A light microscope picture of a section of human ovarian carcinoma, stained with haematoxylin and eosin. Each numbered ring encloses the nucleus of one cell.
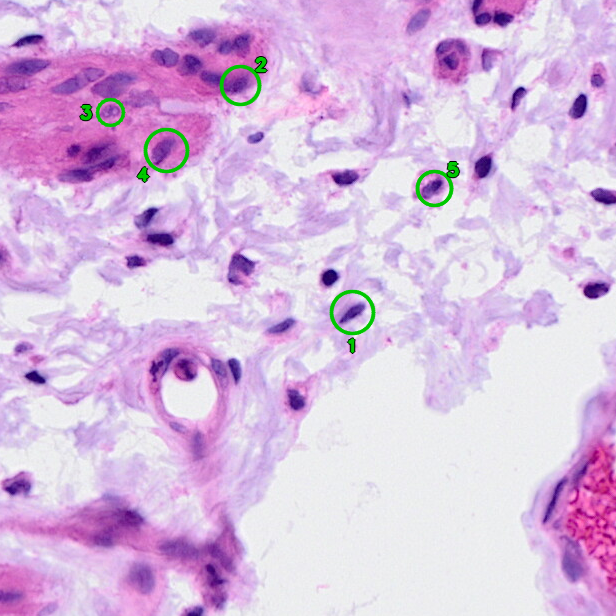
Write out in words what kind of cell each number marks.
Cell 1 is a fibroblast, cell 2 is a smooth muscle cell, cell 3 is a smooth muscle cell, cell 4 is a smooth muscle cell and cell 5 is a macrophage or monocyte.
